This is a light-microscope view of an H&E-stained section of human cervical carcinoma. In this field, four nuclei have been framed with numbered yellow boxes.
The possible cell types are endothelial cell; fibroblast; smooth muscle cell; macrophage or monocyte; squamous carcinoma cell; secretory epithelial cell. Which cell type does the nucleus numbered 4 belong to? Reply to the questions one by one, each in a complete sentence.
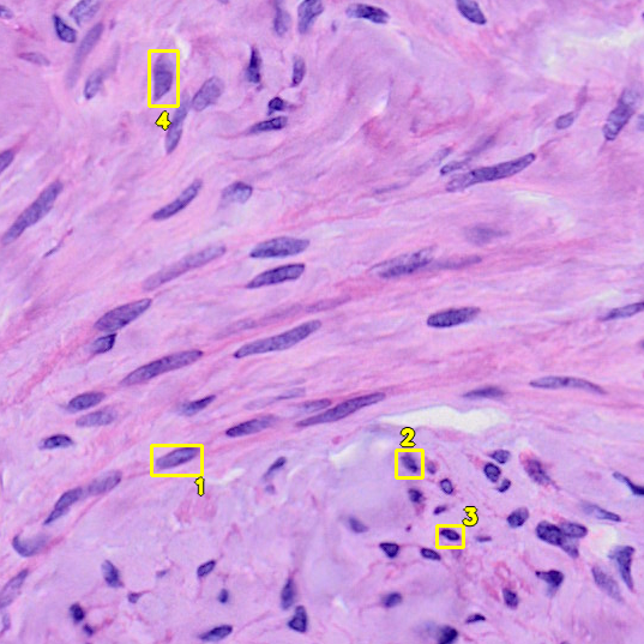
The marked nucleus 4 is that of a fibroblast.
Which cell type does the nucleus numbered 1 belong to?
That cell with number 1 is a smooth muscle cell.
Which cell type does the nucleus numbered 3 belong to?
Denoted by the label 3 in the section is a smooth muscle cell.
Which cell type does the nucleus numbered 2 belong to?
The cell numbered 2 represents a smooth muscle cell.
